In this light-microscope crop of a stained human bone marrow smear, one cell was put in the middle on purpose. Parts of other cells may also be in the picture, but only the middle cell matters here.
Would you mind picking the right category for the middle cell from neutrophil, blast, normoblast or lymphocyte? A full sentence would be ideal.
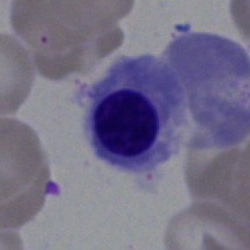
Among the cells in view, the one in the middle is a normoblast.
